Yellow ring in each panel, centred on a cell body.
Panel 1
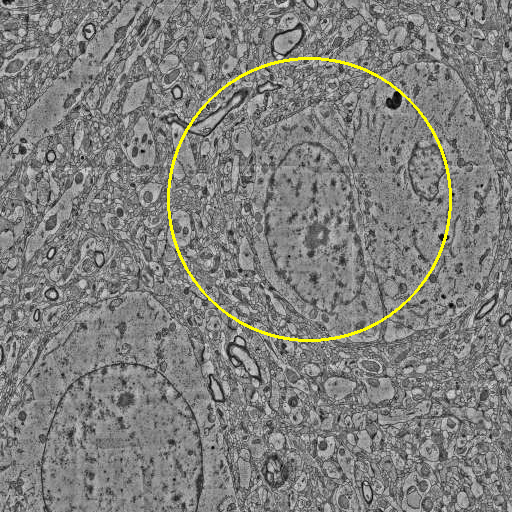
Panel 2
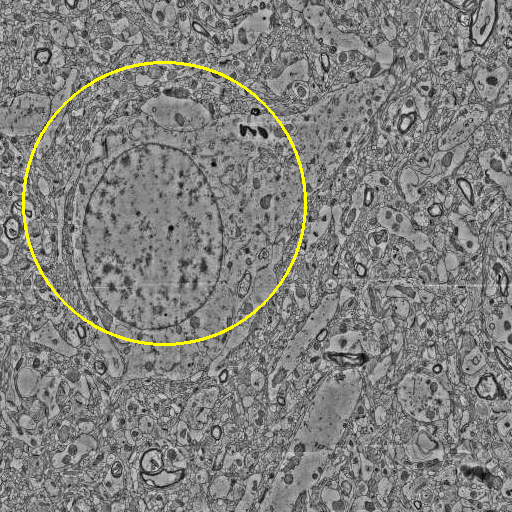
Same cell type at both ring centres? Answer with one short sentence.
No, the two cells are of two types.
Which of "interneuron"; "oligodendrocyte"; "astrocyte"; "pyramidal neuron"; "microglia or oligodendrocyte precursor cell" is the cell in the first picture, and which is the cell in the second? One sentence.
The two differ: the first cell is an interneuron and the second is a pyramidal neuron.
